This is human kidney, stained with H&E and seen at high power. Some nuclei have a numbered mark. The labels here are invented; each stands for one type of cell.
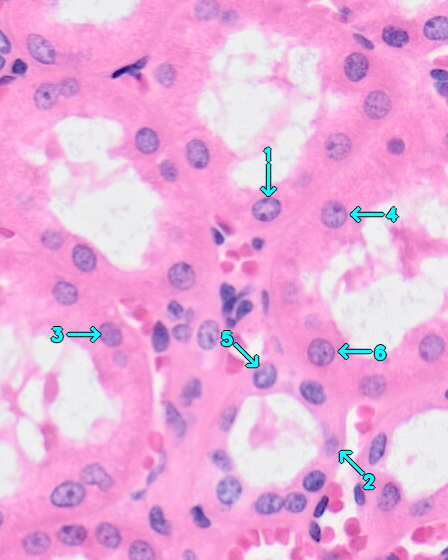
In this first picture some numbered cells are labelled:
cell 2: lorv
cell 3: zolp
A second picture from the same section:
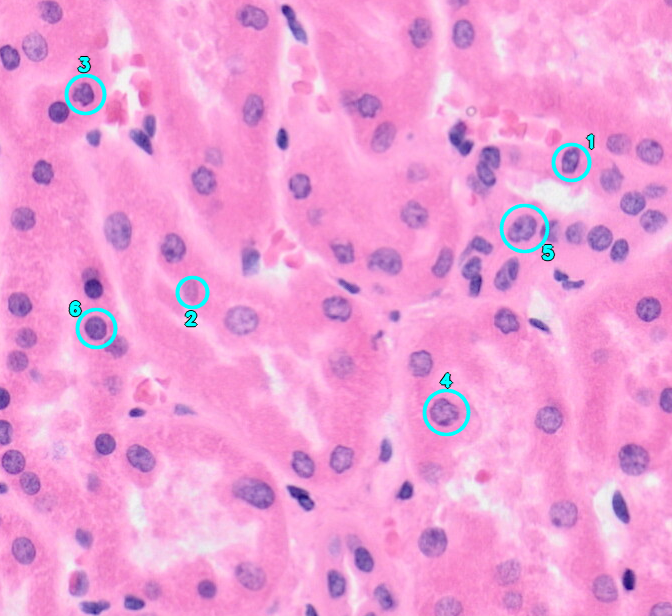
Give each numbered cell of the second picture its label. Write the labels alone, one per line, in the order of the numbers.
lorv
zolp
zolp
zolp
lorv
zolp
